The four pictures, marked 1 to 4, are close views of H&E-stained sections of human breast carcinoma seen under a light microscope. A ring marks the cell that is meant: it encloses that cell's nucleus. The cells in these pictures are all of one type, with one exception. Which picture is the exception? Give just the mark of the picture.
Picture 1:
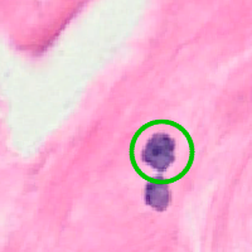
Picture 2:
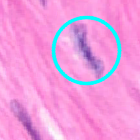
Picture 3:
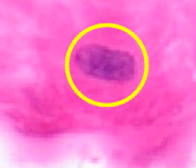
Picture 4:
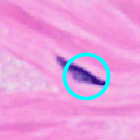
1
